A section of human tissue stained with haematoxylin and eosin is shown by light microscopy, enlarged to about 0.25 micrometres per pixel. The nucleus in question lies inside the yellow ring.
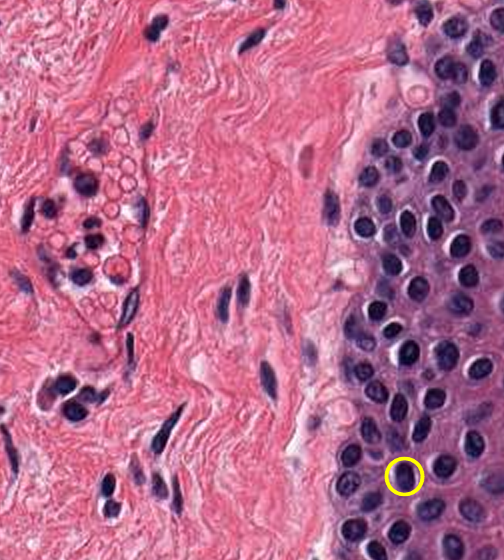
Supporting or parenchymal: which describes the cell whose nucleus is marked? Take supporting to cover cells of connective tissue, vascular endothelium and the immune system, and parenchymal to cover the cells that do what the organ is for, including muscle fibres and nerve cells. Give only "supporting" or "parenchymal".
parenchymal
